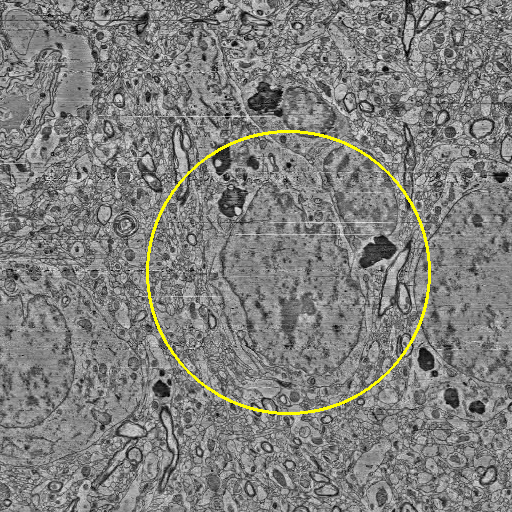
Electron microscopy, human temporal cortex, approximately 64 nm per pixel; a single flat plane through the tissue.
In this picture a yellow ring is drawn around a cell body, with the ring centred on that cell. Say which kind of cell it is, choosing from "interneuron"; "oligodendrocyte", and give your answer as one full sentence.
Here it is an interneuron that sits at the centre of the drawn yellow ring.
